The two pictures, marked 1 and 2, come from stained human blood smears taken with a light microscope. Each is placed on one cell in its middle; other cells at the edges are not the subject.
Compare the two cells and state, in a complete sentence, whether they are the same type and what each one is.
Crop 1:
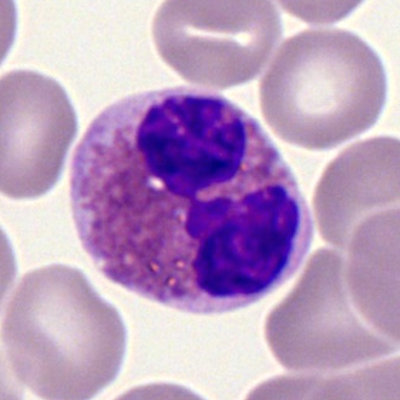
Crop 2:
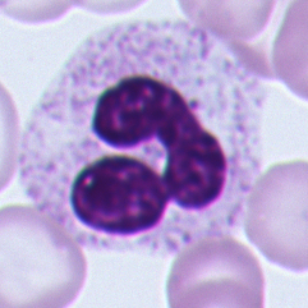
No, the middle of crop 1 shows an eosinophil, and the middle of crop 2 shows a segmented neutrophil.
